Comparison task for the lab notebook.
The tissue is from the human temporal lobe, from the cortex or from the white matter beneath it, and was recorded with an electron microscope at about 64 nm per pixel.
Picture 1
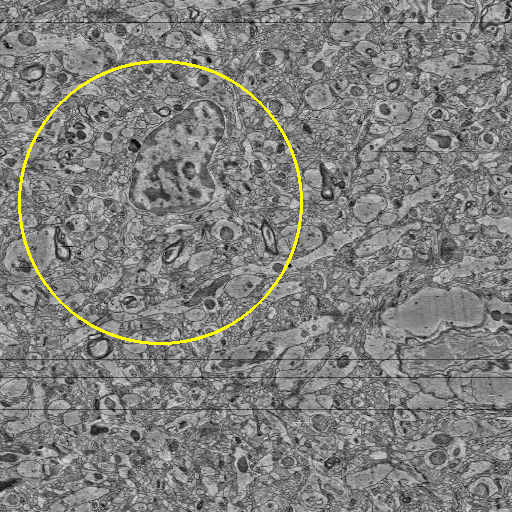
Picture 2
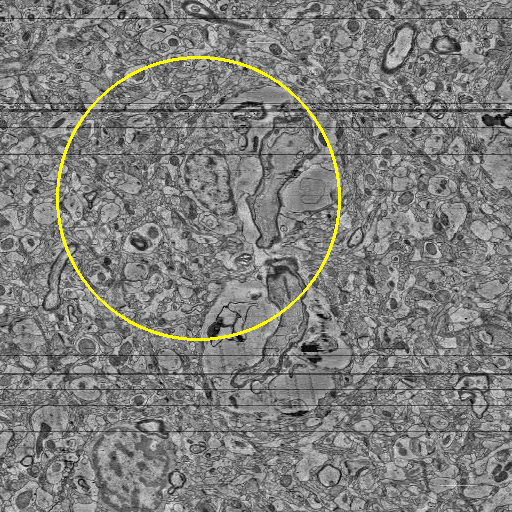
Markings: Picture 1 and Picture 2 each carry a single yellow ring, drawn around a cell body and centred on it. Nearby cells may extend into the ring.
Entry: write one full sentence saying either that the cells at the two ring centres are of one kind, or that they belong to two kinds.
The cells sitting at the ring centres in Picture 1 and Picture 2 are of one kind.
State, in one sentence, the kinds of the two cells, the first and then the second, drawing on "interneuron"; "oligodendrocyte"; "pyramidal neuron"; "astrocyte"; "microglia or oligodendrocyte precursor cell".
In each picture the ringed cell is a microglial cell or oligodendrocyte precursor cell.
